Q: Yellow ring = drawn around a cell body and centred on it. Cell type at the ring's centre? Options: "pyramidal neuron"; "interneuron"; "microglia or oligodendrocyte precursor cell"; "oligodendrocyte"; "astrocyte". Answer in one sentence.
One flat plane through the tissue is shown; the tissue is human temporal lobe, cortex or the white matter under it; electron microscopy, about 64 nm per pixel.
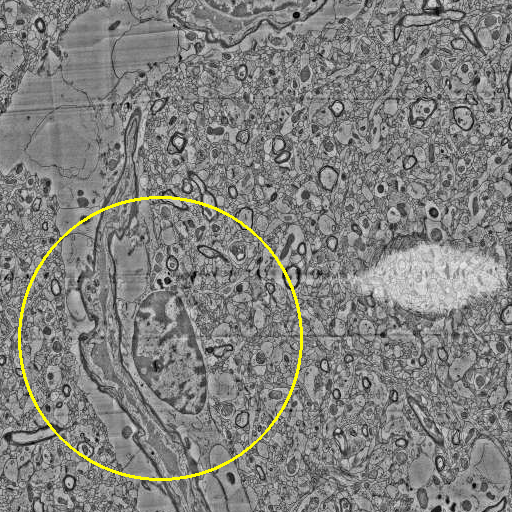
Centred in the ring is a microglial cell or oligodendrocyte precursor cell.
